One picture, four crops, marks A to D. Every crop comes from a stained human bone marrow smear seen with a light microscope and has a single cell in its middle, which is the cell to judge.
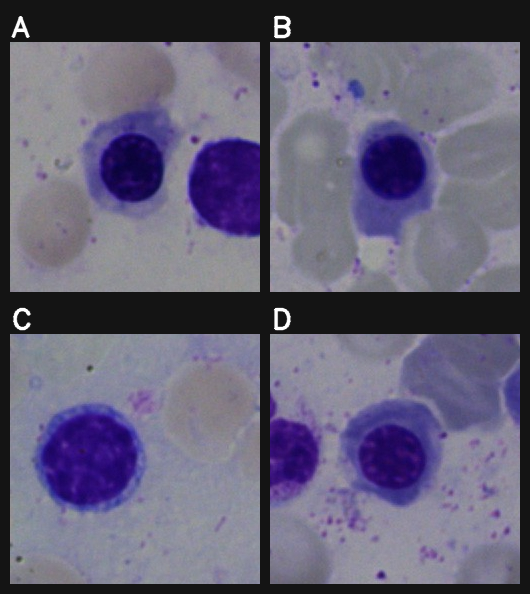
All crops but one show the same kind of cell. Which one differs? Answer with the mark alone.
C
